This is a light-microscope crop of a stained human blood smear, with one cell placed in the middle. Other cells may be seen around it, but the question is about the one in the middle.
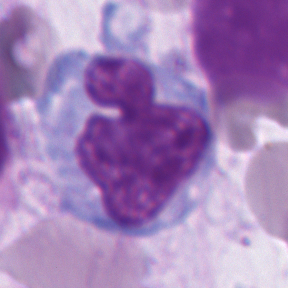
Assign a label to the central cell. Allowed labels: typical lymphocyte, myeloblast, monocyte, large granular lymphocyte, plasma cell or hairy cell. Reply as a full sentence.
The target cell in the middle of the crop is a monocyte.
